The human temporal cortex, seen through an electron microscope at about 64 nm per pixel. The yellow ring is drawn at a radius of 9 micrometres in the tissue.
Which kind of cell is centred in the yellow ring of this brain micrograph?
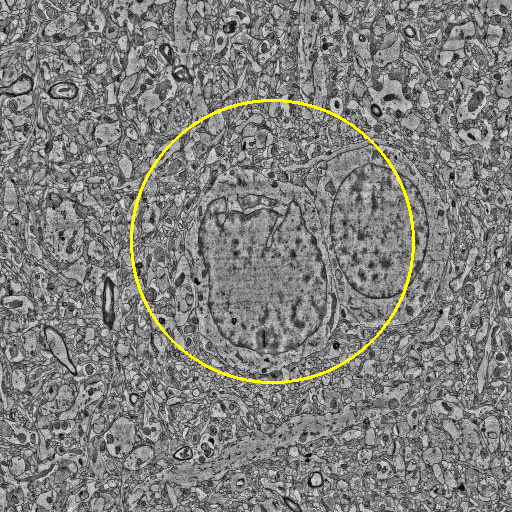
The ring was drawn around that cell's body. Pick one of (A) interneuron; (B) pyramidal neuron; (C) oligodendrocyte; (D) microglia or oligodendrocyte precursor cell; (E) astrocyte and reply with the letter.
A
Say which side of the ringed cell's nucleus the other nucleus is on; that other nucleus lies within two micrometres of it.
The other one is to the right of it.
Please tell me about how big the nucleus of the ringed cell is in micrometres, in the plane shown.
The nucleus is approximately 11 micrometers long by 8 micrometers wide in this plane.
